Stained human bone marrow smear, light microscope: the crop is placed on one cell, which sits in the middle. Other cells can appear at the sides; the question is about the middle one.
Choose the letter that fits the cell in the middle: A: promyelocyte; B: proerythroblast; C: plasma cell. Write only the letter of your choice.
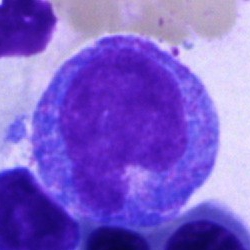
A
